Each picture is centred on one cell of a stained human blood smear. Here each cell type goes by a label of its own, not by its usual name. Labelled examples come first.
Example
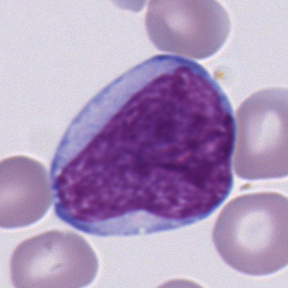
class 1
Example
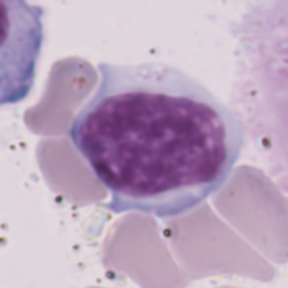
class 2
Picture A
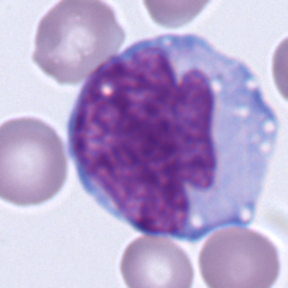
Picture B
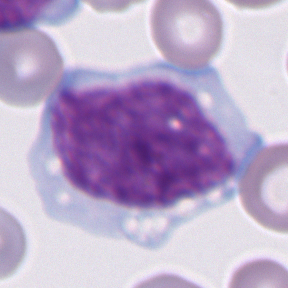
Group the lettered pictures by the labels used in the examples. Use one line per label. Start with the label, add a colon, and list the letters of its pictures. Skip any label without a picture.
class 1: A, B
